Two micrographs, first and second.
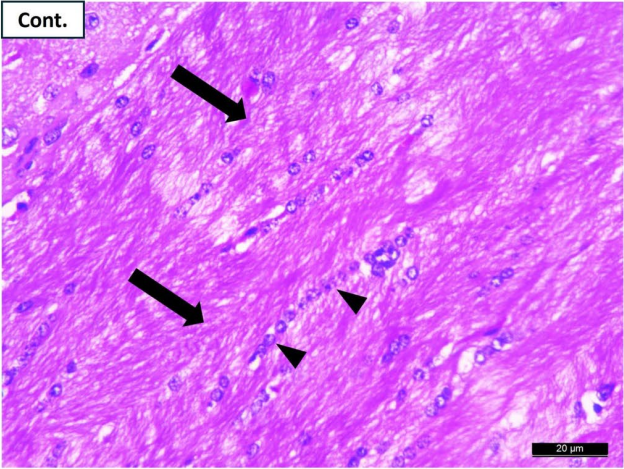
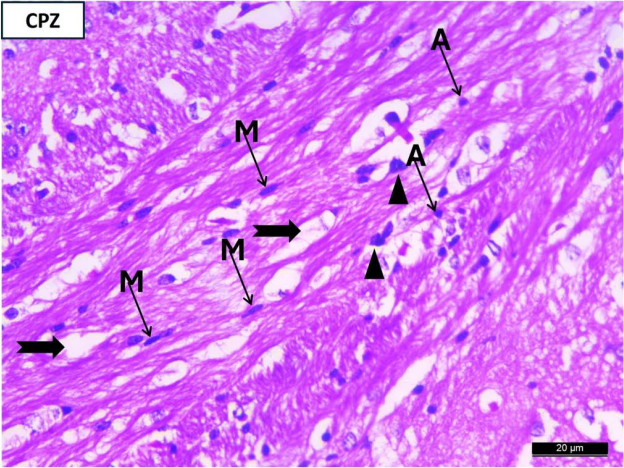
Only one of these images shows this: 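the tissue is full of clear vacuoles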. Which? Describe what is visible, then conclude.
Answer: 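Second image: many rounded clear spaces break up the fiber bundles. First image: fibers are densely packed with only small pale areas.
Conclusion: the second image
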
